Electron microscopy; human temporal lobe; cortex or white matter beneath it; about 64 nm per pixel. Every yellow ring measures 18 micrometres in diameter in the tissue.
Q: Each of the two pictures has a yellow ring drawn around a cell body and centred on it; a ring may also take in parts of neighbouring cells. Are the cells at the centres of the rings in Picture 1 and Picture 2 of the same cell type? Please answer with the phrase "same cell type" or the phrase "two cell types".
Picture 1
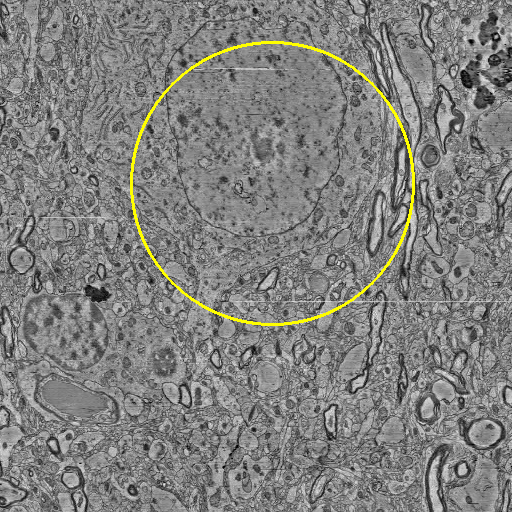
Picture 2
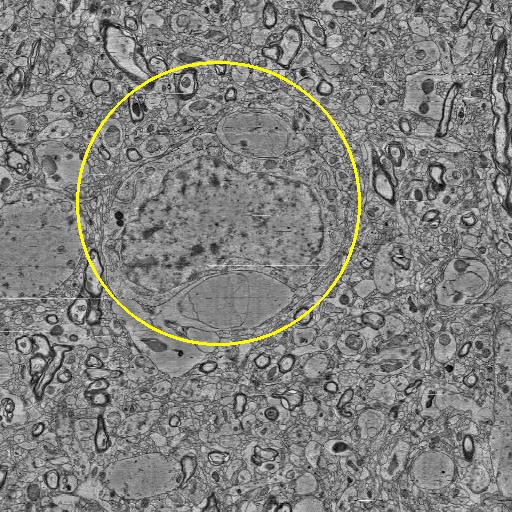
two cell types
